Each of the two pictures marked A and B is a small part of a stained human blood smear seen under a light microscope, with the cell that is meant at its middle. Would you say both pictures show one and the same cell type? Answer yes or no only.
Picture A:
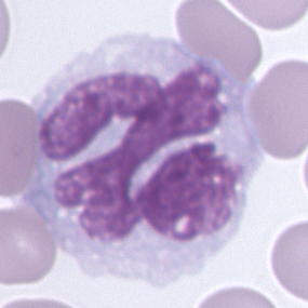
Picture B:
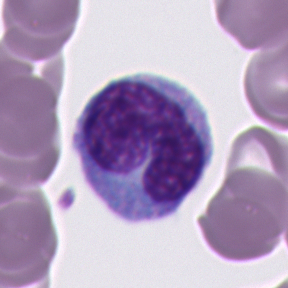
yes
